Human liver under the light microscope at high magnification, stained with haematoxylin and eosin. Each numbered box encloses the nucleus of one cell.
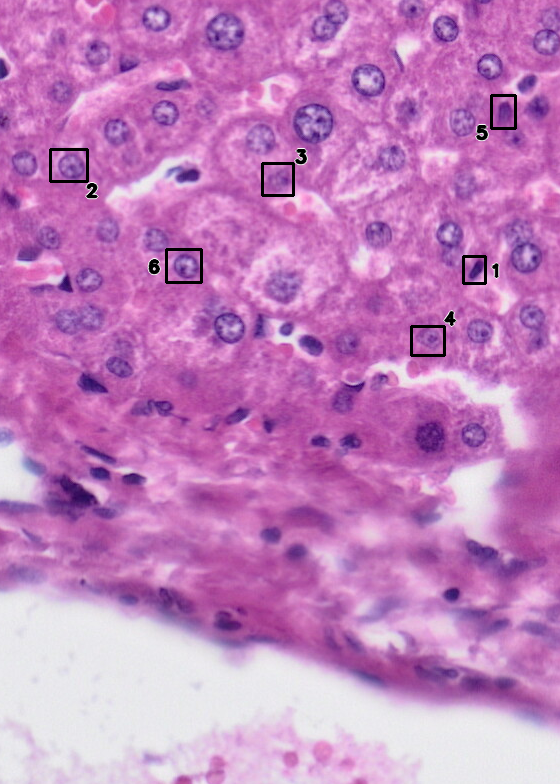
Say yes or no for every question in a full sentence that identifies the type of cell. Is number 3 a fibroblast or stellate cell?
No, cell 3 is a hepatocyte; it is not a fibroblast or stellate cell.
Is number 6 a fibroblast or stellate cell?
No, the cell identified by number 6 is a hepatocyte, not a fibroblast or stellate cell.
